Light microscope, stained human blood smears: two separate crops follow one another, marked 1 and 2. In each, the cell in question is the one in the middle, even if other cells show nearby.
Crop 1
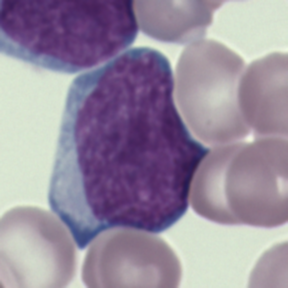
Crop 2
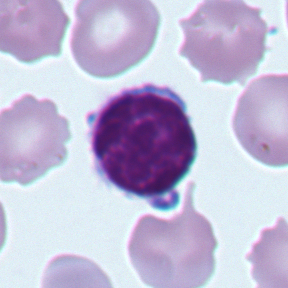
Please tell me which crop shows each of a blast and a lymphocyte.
1: blast
2: lymphocyte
